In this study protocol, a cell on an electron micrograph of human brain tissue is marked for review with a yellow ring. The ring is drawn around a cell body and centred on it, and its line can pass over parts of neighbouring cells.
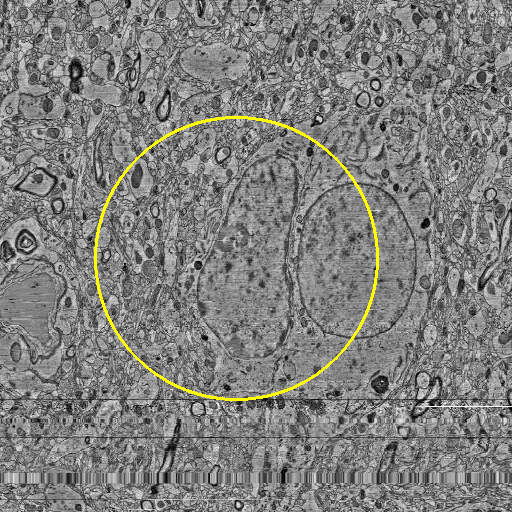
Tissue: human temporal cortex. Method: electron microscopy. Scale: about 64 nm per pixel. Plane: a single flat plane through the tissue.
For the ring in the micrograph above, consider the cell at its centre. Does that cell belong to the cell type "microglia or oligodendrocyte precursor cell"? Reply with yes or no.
yes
